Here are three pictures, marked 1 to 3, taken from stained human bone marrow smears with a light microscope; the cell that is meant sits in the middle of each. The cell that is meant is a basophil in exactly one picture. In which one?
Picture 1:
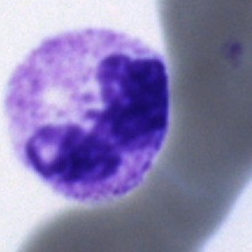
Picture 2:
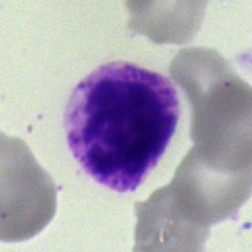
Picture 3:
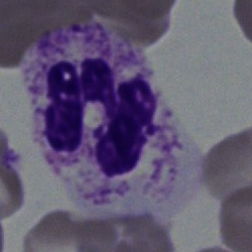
2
